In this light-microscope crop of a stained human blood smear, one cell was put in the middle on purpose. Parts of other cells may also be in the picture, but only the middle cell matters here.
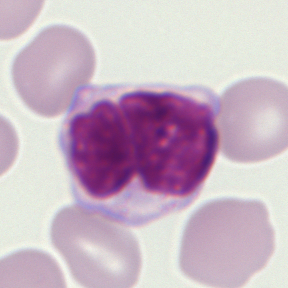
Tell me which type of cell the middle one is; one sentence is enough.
The cell in the middle of this crop is a large granular lymphocyte.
